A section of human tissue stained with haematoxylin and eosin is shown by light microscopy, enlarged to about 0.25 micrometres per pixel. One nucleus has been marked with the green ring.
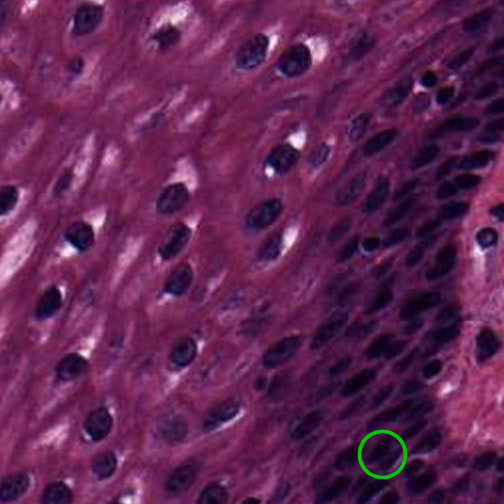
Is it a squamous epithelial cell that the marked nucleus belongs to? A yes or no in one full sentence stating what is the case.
Yes, the marked nucleus represents the nucleus of a squamous epithelial cell.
